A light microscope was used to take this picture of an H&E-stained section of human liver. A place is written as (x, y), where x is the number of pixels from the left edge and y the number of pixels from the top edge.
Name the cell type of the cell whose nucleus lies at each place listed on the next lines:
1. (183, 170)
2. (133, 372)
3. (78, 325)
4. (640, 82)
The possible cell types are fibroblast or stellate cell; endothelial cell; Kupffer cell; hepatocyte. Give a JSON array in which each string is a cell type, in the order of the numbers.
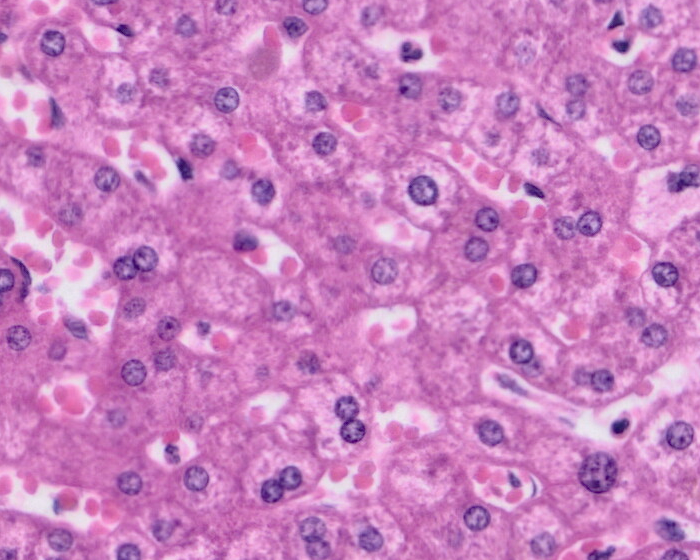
["fibroblast or stellate cell", "hepatocyte", "Kupffer cell", "hepatocyte"]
